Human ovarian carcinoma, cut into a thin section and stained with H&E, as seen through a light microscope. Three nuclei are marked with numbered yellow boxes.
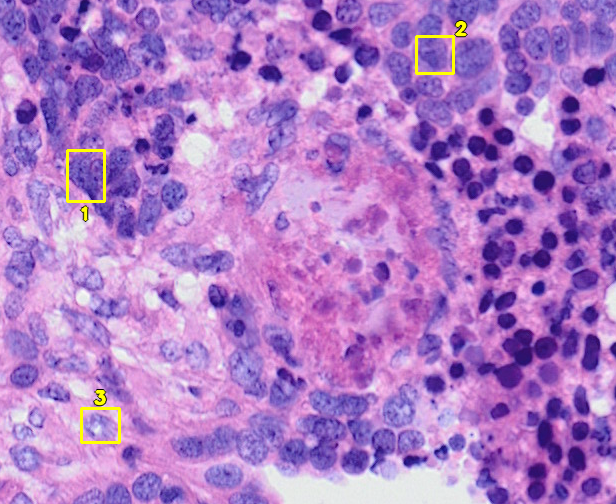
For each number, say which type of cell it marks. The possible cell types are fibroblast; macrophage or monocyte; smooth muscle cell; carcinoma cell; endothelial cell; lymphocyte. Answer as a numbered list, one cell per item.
1. carcinoma cell
2. carcinoma cell
3. fibroblast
